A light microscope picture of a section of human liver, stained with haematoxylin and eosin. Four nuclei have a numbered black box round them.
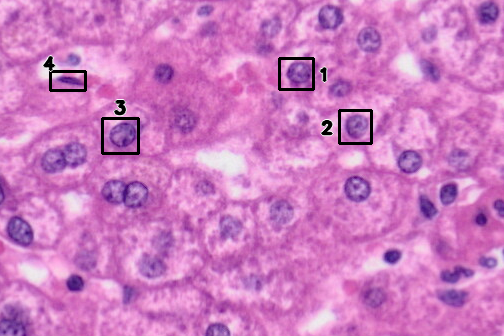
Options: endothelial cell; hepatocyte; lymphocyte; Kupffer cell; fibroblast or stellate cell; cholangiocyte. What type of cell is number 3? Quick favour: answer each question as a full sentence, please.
The cell given label 3 is a hepatocyte.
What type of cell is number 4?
Cell 4, as marked in the section, is an endothelial cell.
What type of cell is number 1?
Marked with the number 1, this cell is a hepatocyte.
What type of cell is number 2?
Nucleus 2 in this section belongs to a hepatocyte.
